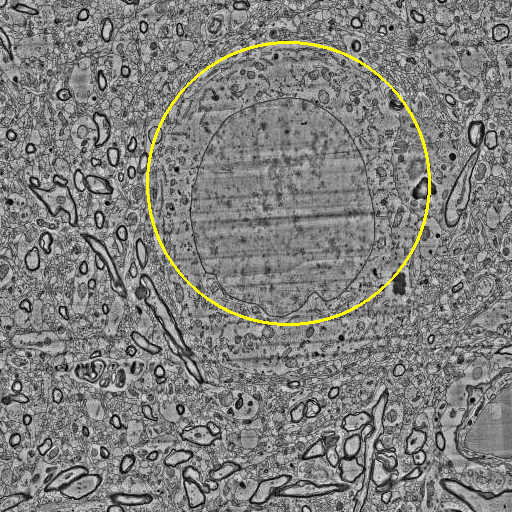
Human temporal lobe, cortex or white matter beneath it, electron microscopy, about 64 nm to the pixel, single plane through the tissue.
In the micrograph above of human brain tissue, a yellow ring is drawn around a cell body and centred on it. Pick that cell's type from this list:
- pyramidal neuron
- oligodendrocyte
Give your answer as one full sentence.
Going by the list, a pyramidal neuron is the cell on which the yellow ring is centred.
